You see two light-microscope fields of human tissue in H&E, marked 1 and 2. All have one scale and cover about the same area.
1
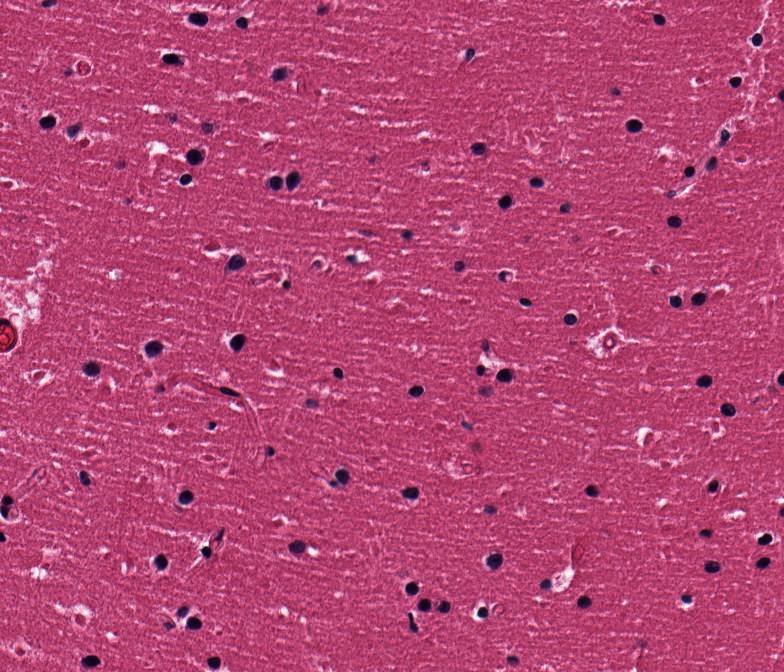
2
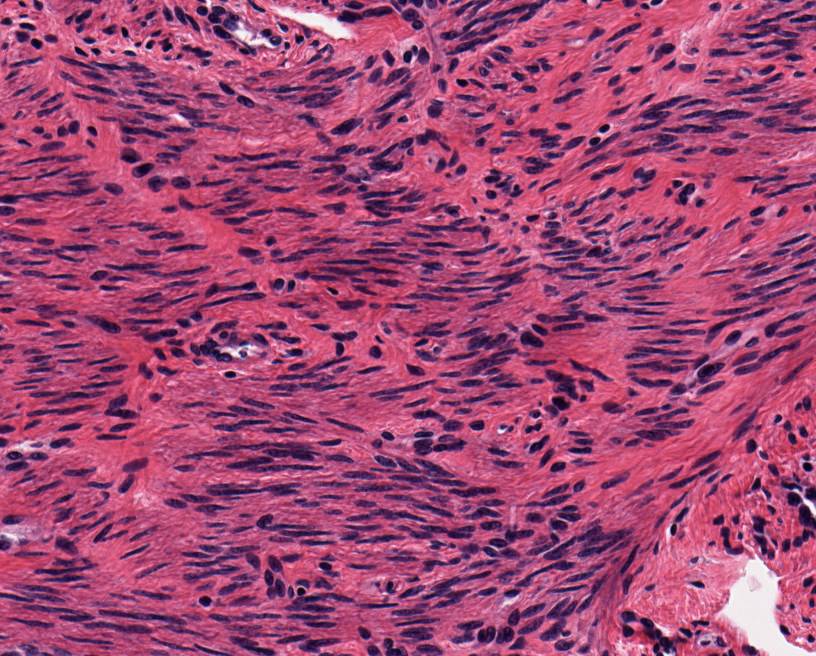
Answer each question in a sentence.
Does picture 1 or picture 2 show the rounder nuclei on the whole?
On the whole the nuclei of picture 1 are rounder than those of picture 2.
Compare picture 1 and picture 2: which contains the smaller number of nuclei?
The smaller number of nuclei is in picture 1.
